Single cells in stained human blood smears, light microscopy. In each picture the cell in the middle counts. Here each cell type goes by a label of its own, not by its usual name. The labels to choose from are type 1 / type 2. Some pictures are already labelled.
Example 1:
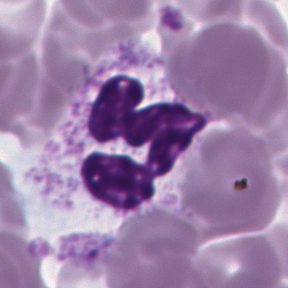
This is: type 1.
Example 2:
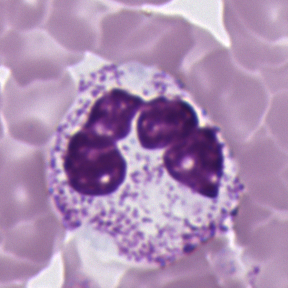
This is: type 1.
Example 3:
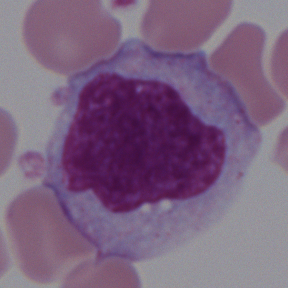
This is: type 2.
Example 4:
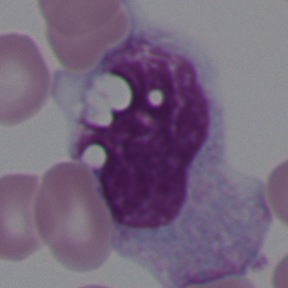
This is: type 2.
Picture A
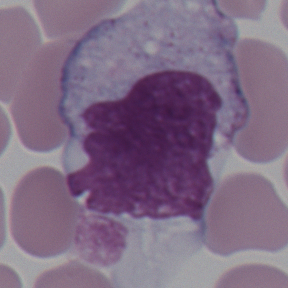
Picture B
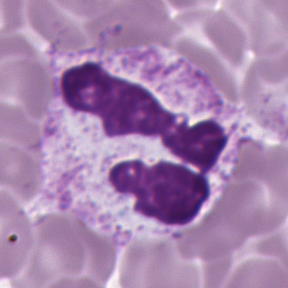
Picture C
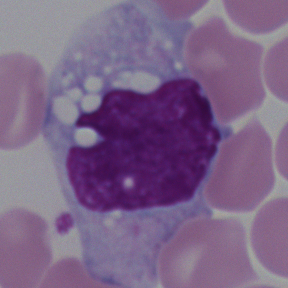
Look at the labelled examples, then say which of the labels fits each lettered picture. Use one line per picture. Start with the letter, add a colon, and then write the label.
A: type 2.
B: type 1.
C: type 2.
